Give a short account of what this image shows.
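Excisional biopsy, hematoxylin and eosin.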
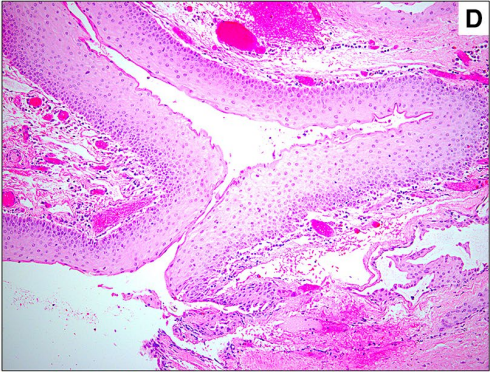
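The wall of a collapsed cyst is lined by nonkeratinizing stratified squamous epithelium, several cell layers thick. The epithelial layers are folded around a central empty, slit-like space. The surface cells are flattened, and no keratin layer lies on them. Outside the epithelium is loose pink connective tissue with scattered small blood vessels filled with red cells.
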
